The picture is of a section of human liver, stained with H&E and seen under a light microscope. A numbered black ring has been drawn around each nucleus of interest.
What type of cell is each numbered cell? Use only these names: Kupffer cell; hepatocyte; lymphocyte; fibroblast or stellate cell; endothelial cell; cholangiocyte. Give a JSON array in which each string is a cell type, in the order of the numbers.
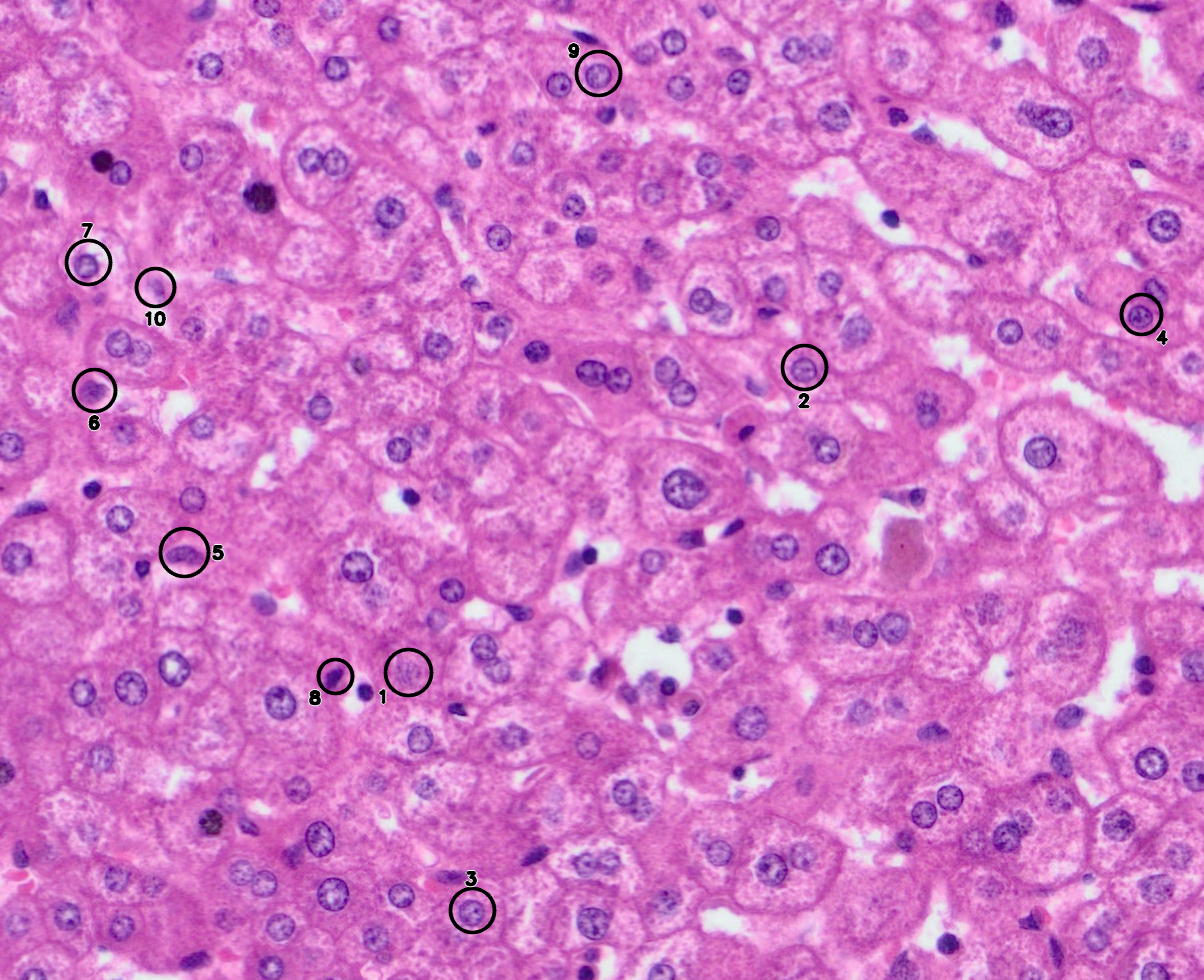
["hepatocyte", "hepatocyte", "hepatocyte", "hepatocyte", "Kupffer cell", "Kupffer cell", "hepatocyte", "fibroblast or stellate cell", "hepatocyte", "Kupffer cell"]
